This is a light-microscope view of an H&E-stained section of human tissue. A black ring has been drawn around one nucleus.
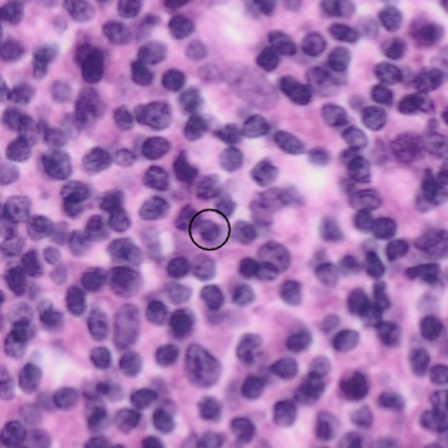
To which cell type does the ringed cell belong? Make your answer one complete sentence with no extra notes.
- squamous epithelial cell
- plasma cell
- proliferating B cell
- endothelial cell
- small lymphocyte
To be brief about it, the ringed cell is a small lymphocyte.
